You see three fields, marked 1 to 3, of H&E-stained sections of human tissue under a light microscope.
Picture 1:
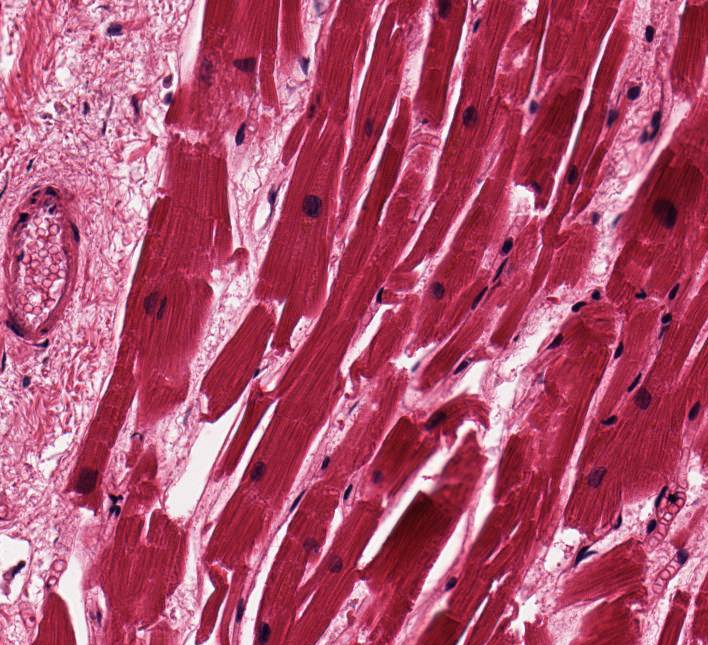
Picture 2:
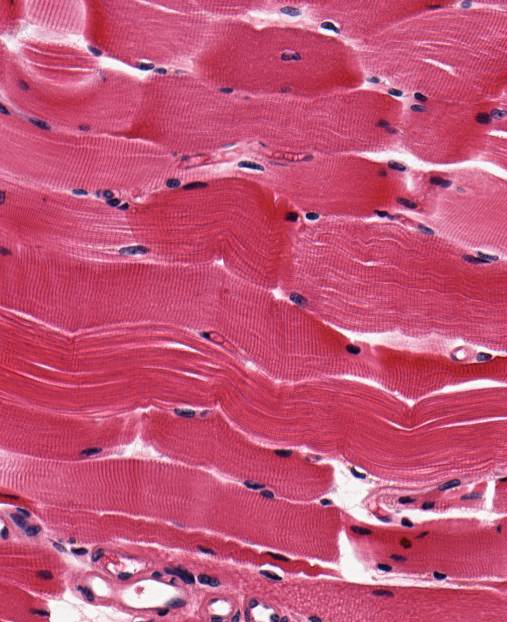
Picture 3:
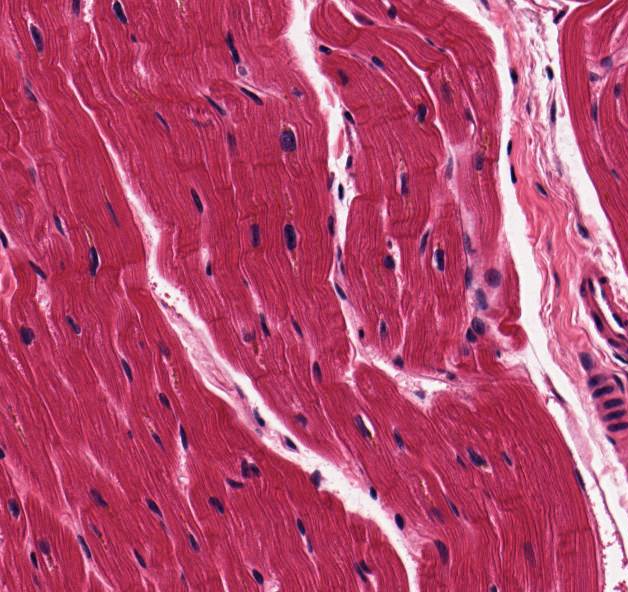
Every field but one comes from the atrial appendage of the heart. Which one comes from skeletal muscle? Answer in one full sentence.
Picture 2 is the field that comes from skeletal muscle.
